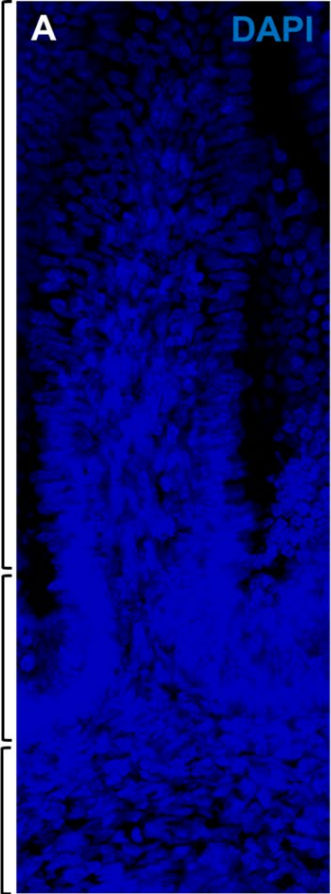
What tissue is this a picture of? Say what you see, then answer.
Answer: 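Densely packed nuclei form a finger-like projection running up the panel. Dark gaps on either side separate the projection from neighbouring ones.
Small intestine.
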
